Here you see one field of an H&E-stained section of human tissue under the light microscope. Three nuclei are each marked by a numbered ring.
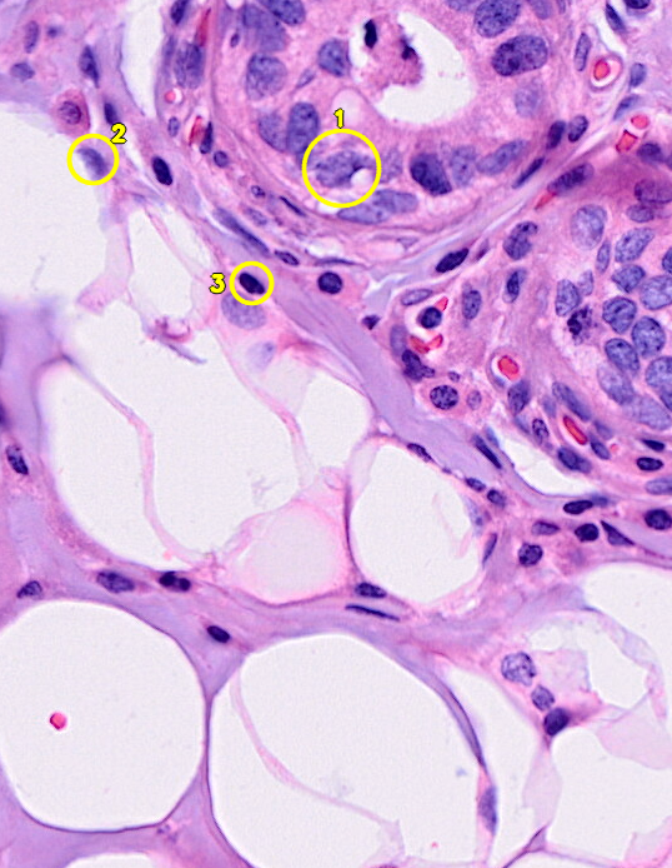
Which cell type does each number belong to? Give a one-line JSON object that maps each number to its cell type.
{"1": "carcinoma cell", "2": "fibroblast", "3": "lymphocyte"}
